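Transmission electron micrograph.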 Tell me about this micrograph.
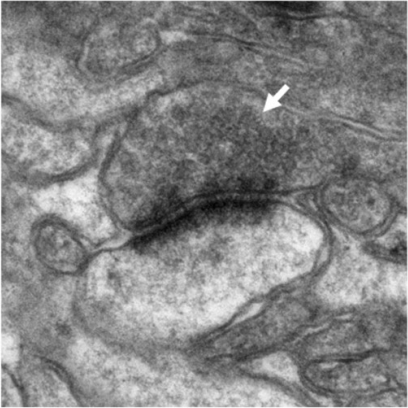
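The upper terminal is crowded with small round vesicles and appears dark and granular. A long, curved, strongly electron-dense thickening lines the contact between the two, with a narrow cleft between the membranes. Smaller rounded processes lie around the synapse.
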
